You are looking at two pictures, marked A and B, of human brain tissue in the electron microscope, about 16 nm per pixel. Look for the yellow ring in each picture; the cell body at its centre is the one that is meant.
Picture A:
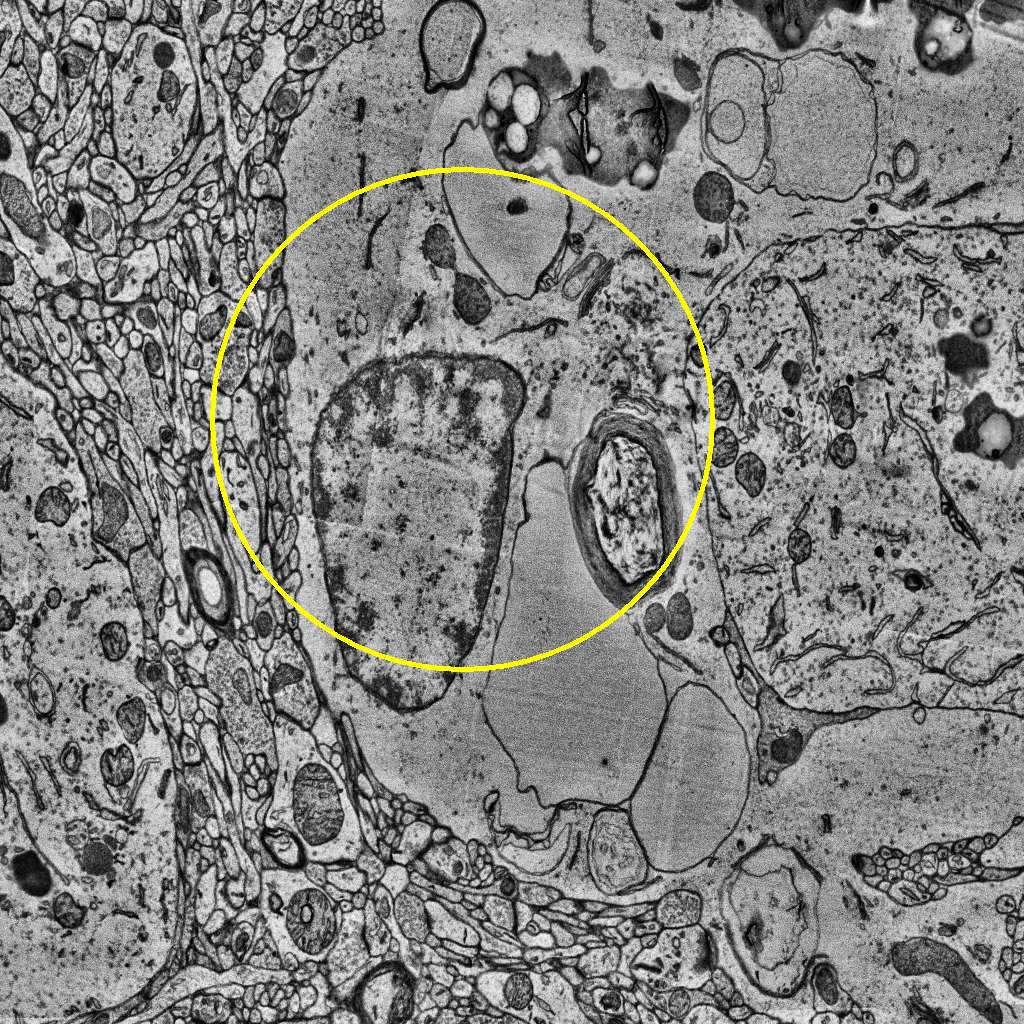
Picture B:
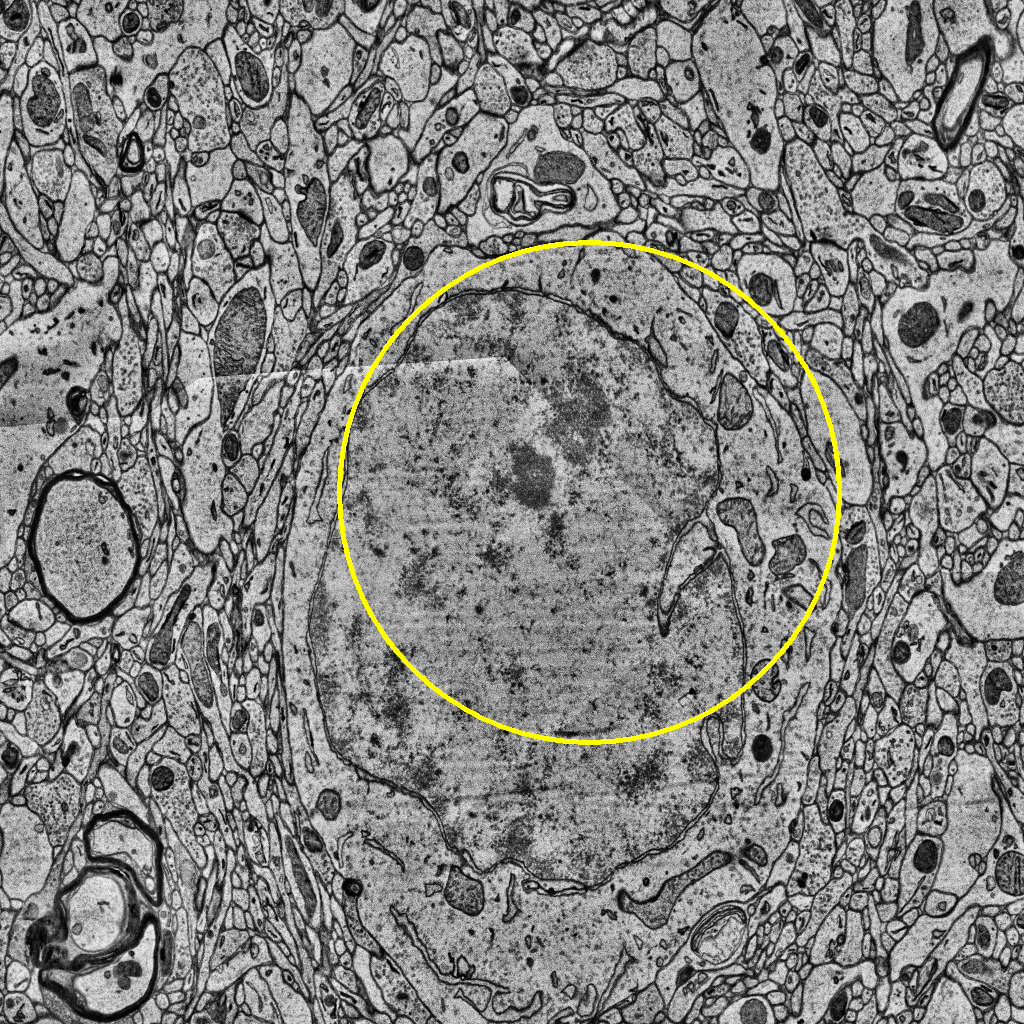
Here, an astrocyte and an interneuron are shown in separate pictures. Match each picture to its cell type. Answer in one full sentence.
It is picture A that shows an astrocyte, and picture B that shows an interneuron.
